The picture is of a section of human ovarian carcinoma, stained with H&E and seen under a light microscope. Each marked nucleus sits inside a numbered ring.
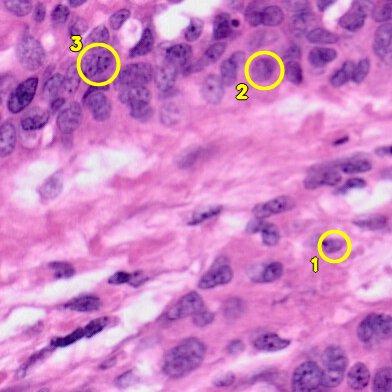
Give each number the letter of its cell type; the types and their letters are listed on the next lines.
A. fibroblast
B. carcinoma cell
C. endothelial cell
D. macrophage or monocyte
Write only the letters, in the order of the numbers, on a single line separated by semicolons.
D; B; B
